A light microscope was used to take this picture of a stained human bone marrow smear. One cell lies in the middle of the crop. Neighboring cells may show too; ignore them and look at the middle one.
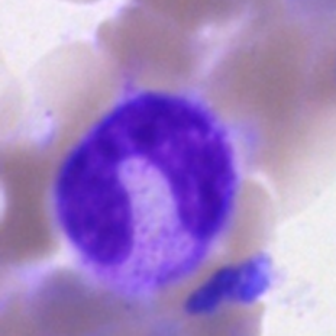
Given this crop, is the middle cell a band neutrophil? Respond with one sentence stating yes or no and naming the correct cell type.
Yes, the cell positioned at the centre of the crop is a band neutrophil.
